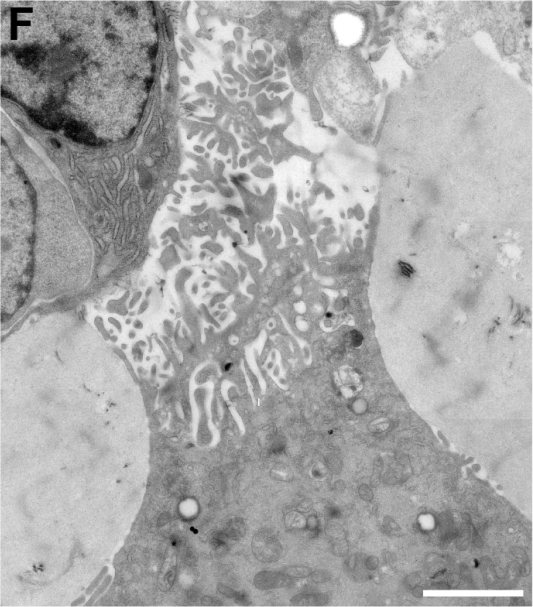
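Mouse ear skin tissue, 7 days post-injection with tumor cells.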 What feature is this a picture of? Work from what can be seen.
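Numerous thin, finger-like and convoluted membrane projections fill the centre of the image. The projections extend from a cytoplasm containing small vesicles and organelles.
Protrusive structures.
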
